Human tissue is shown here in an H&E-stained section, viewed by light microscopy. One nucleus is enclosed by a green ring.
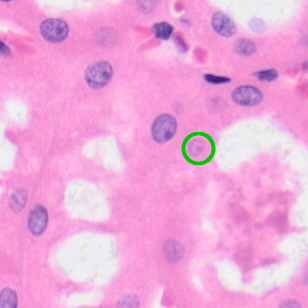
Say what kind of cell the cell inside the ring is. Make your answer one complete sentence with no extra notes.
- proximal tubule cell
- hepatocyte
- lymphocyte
By cell type, the cell inside the ring is a proximal tubule cell.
